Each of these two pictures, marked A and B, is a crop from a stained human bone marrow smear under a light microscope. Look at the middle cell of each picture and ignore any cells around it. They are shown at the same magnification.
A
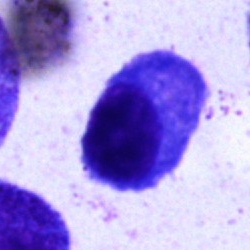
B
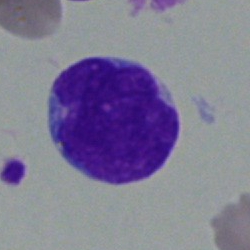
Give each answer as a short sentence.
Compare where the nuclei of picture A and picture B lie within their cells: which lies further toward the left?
Seen within its cell, the nucleus in picture A lies further toward the left.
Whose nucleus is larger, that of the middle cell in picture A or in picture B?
Larger is the nucleus in picture B, at roughly 2 times the area of the other.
